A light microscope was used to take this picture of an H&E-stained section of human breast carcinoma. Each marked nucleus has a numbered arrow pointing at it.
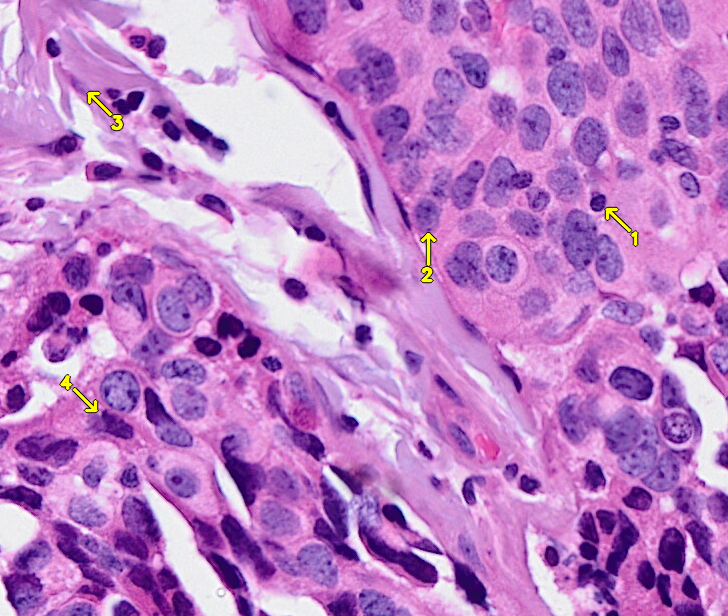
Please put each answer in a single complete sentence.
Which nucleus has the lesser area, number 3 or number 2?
It is nucleus 3; nucleus 2 has about 4 times its area.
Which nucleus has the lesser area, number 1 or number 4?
Nucleus 1 is the smaller one; nucleus 4 covers about 2.5 times its area.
